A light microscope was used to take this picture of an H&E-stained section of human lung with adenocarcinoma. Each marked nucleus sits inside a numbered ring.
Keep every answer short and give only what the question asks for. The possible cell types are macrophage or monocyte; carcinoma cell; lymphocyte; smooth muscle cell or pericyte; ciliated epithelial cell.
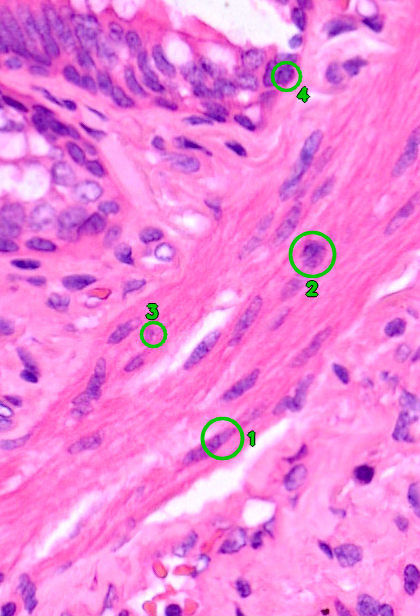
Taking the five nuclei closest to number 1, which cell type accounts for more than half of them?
smooth muscle cell or pericyte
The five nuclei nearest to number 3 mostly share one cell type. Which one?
smooth muscle cell or pericyte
